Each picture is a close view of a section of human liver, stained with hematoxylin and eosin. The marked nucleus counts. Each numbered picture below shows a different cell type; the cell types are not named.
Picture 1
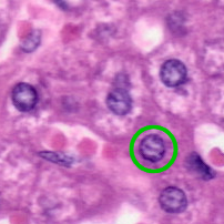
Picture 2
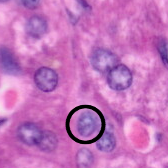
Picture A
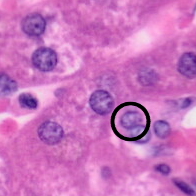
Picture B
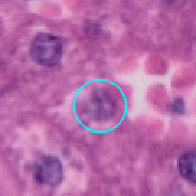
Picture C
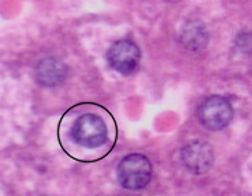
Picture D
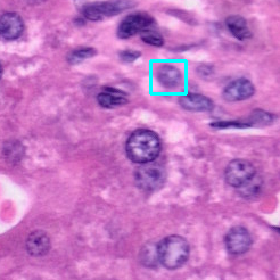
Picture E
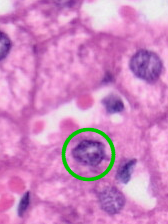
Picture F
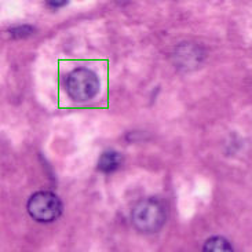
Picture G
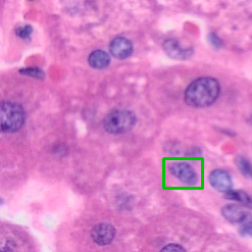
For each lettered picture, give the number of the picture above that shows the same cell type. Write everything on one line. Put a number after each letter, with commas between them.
A 2, B 1, C 1, D 2, E 1, F 1, G 2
